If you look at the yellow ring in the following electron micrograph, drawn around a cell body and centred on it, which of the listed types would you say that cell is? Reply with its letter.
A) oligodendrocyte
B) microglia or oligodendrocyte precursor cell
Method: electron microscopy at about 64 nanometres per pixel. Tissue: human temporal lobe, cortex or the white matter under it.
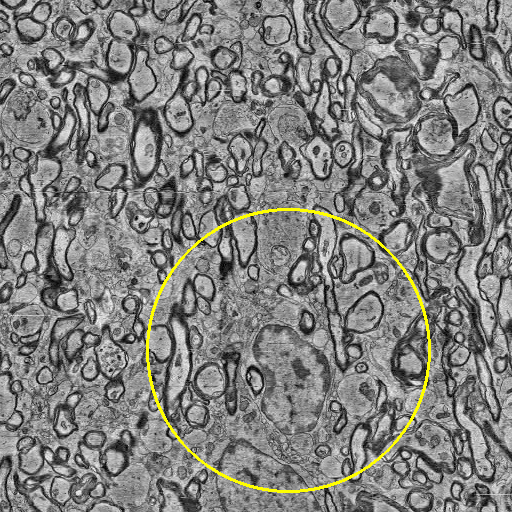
B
